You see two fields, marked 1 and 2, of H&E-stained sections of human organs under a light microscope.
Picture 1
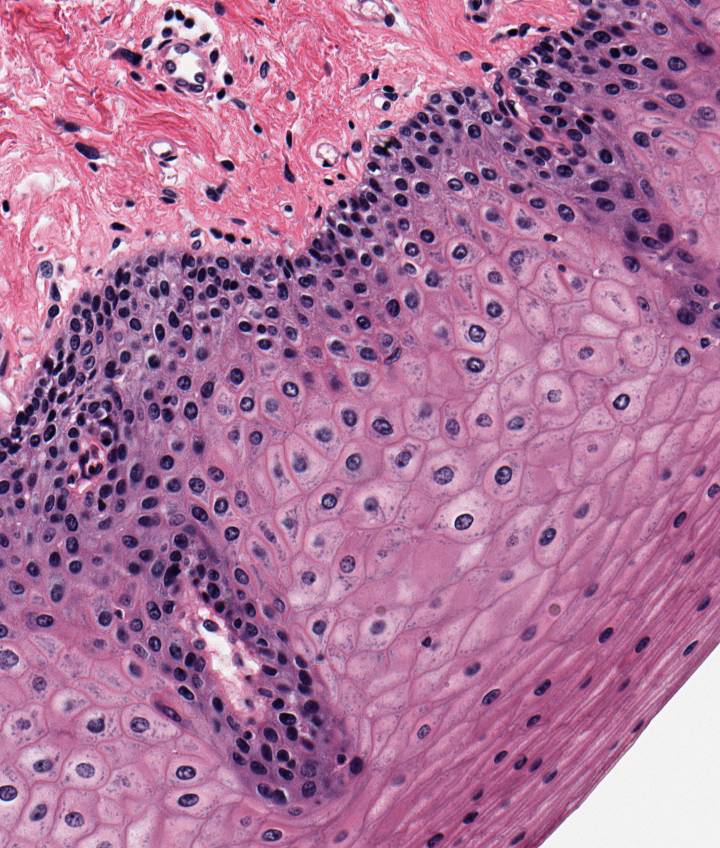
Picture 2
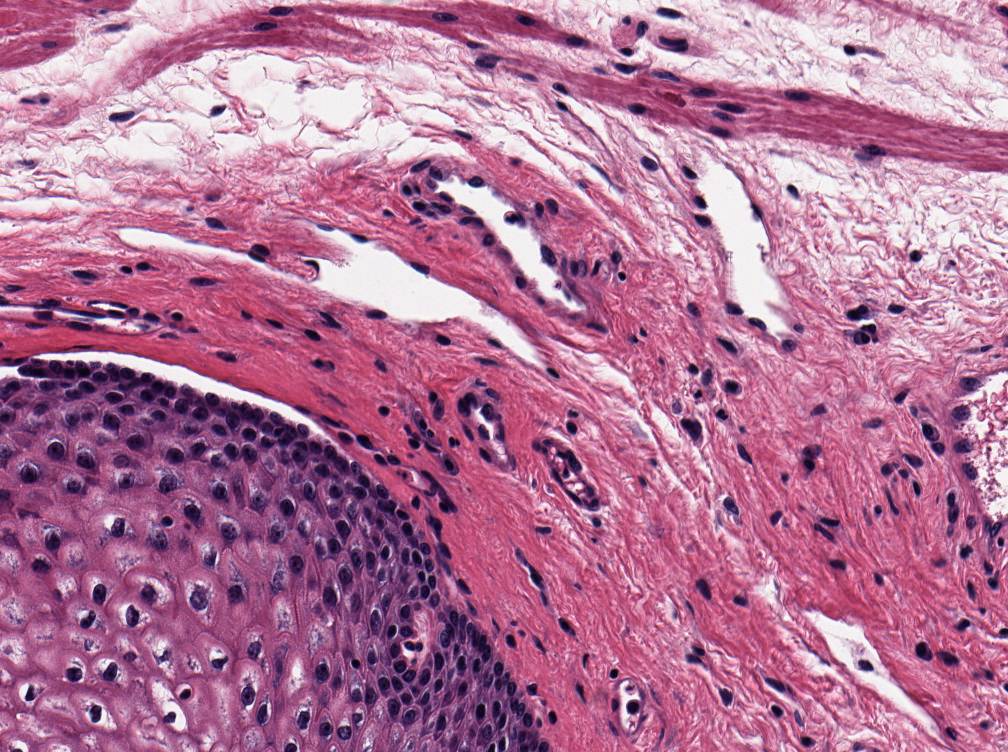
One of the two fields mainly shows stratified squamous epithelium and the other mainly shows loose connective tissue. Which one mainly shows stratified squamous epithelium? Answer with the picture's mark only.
1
